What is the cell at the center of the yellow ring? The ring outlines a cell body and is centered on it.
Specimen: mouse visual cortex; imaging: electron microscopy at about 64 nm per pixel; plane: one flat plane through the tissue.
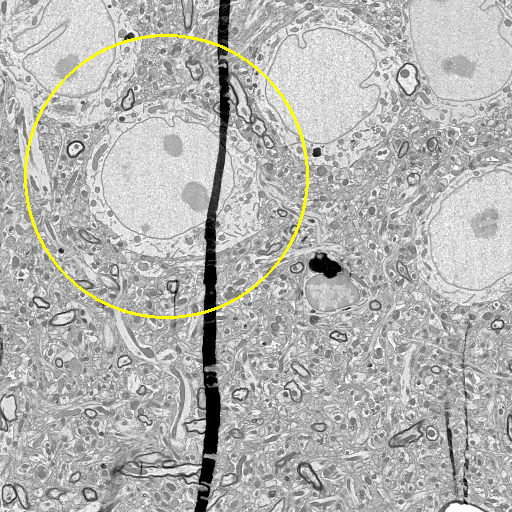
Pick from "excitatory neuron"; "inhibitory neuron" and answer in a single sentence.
The yellow ring is centered on an excitatory neuron.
